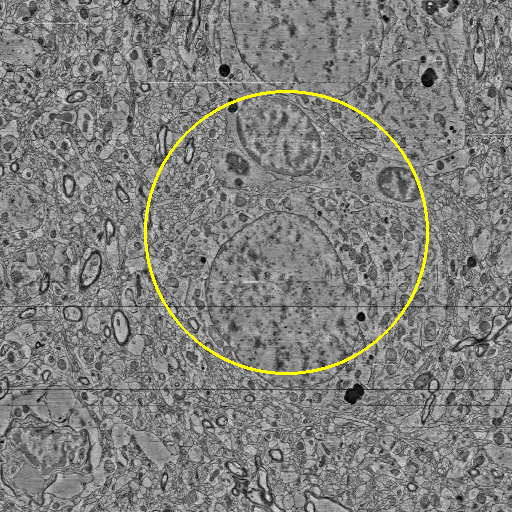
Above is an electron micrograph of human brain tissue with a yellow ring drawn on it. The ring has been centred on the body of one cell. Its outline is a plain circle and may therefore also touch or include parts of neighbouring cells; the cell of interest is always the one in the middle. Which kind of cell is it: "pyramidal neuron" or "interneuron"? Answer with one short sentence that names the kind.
The ring's central cell body is that of an interneuron.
